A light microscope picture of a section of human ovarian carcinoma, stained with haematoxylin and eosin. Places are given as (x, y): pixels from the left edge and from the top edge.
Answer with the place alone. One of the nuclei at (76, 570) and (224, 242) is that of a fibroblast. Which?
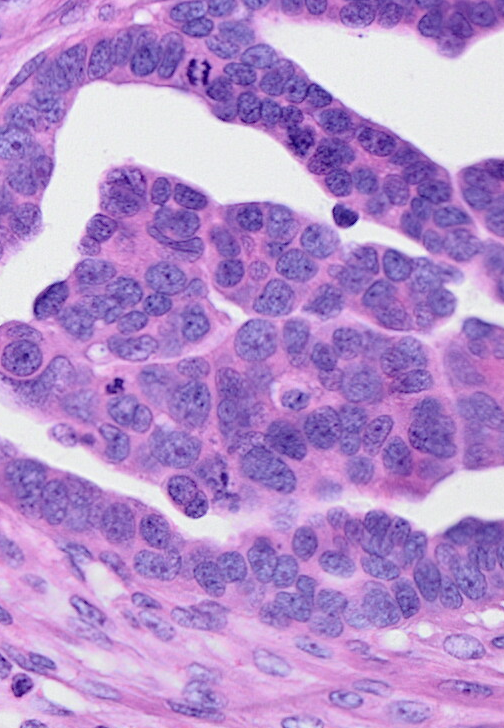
(76, 570)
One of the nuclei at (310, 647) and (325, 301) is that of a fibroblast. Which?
(310, 647)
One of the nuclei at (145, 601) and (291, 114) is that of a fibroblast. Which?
(145, 601)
